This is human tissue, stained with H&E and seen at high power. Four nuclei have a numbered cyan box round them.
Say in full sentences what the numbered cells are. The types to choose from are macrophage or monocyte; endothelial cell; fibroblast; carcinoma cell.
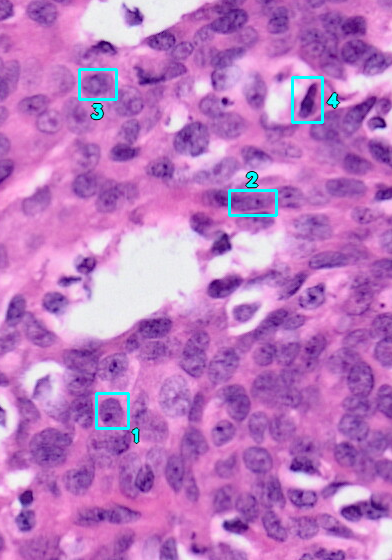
Cell 1 is a carcinoma cell, cell 2 is a carcinoma cell, cell 3 is a carcinoma cell and cell 4 is a macrophage or monocyte.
